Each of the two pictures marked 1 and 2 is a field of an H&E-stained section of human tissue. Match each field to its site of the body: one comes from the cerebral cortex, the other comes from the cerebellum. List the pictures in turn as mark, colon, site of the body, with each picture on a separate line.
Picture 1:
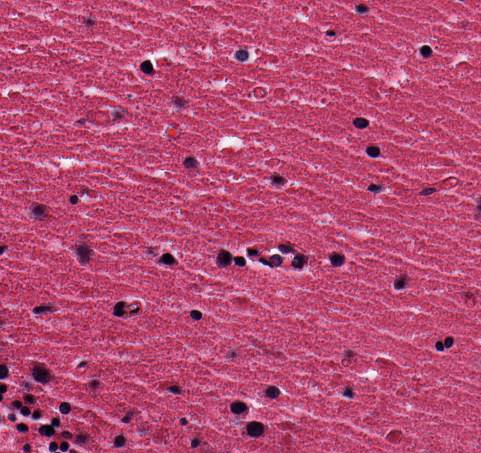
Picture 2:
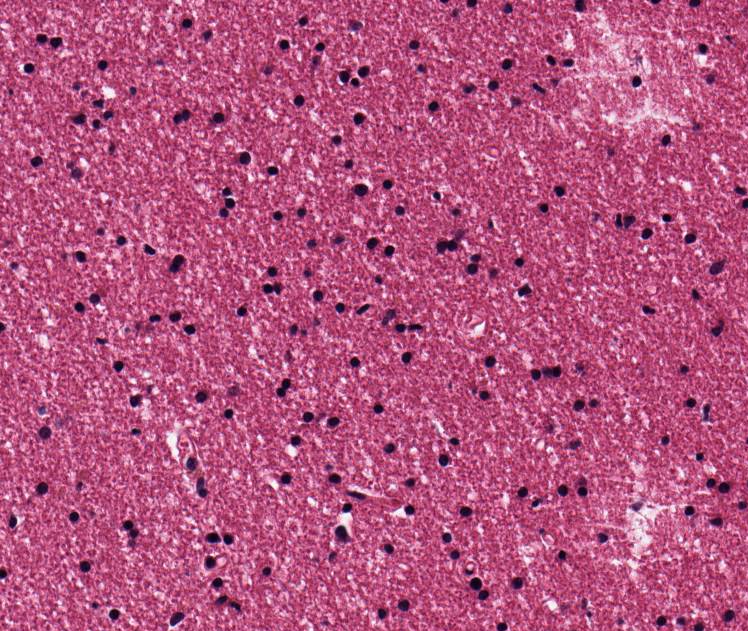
1: cerebellum
2: cerebral cortex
